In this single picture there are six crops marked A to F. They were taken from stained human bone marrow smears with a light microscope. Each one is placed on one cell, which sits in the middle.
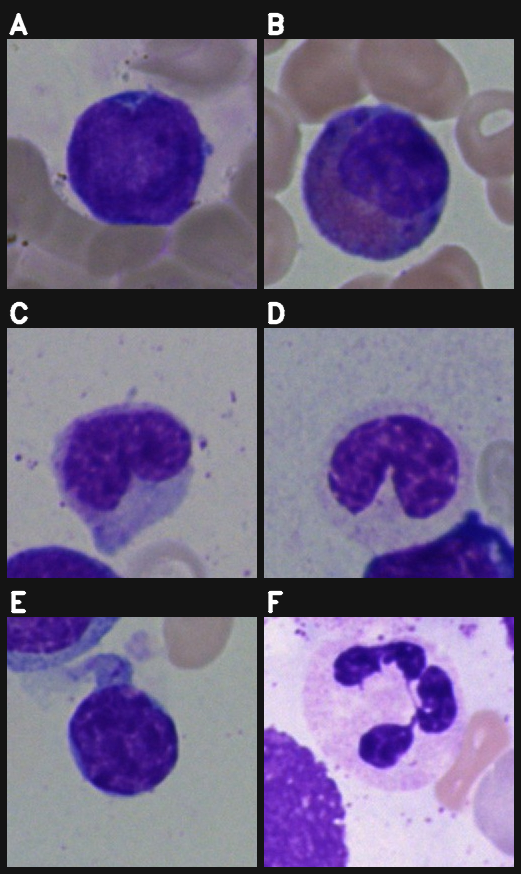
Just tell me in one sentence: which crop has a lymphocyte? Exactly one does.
Crop E is the one in this set that shows a lymphocyte.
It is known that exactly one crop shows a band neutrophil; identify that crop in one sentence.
Of these crops, it is crop D that shows a band neutrophil.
